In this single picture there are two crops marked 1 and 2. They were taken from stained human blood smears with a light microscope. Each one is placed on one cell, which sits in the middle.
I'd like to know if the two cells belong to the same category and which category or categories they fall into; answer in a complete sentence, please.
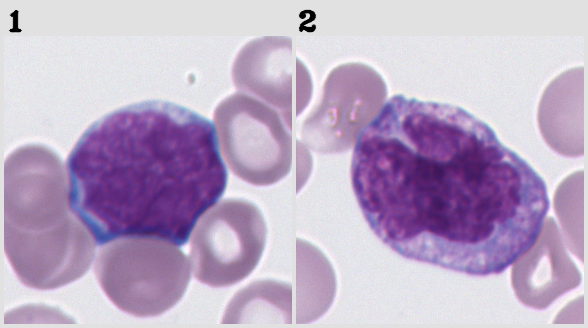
No, a myeloblast lies at the centre of crop 1, and an atypical promyelocyte lies at the centre of crop 2.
